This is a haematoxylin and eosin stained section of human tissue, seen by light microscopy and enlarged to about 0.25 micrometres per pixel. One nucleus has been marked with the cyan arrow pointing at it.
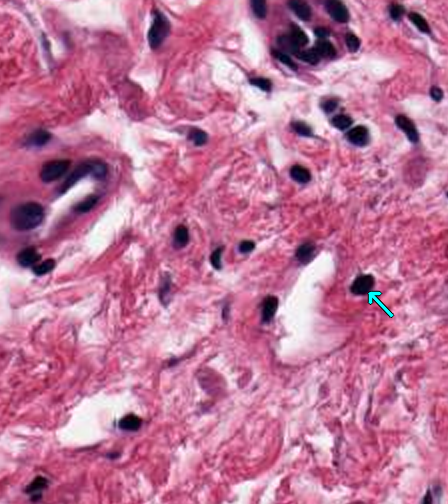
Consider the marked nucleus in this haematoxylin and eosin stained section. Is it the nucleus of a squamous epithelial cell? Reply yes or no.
no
